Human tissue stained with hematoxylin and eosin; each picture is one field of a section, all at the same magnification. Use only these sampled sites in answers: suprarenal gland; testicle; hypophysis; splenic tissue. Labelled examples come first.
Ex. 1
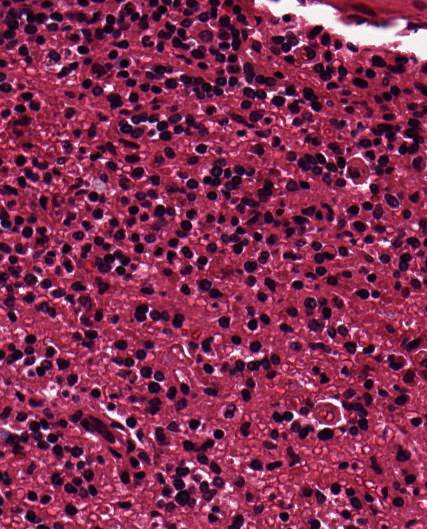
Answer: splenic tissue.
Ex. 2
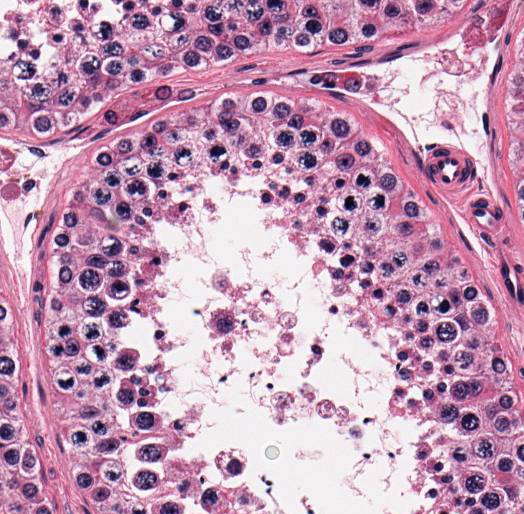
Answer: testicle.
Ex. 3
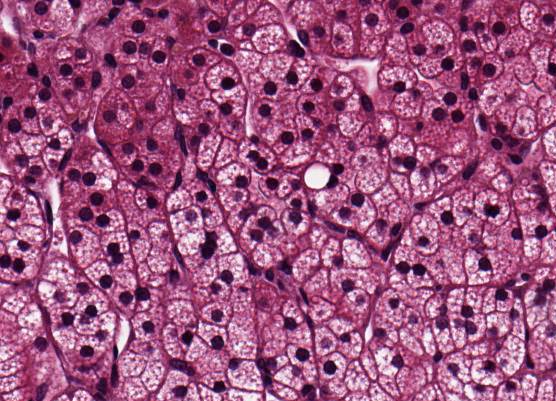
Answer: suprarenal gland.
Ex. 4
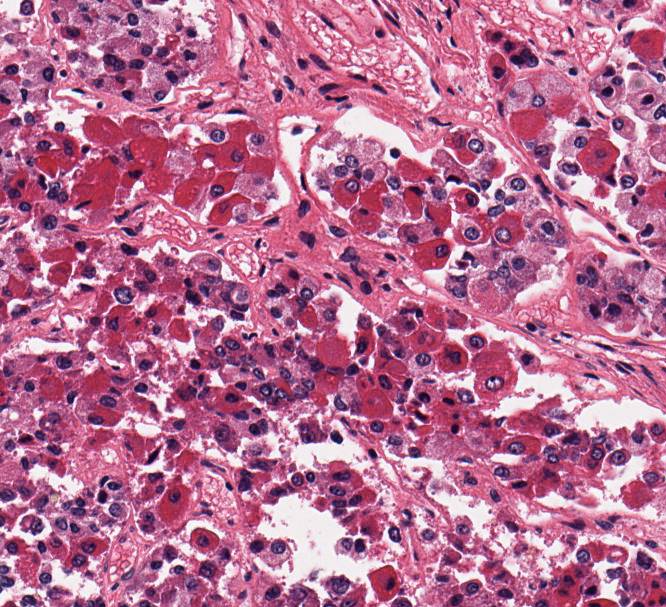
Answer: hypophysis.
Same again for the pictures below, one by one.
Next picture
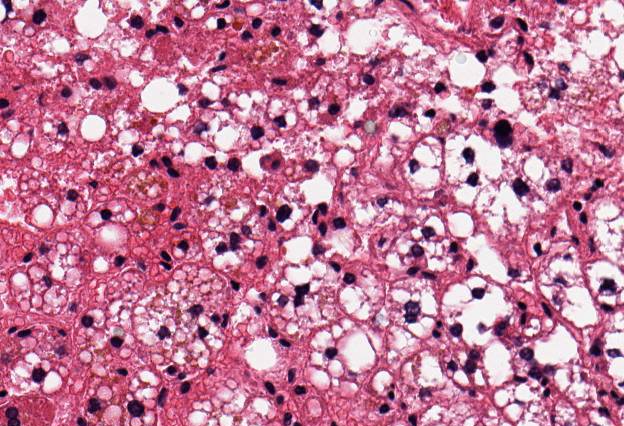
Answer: suprarenal gland.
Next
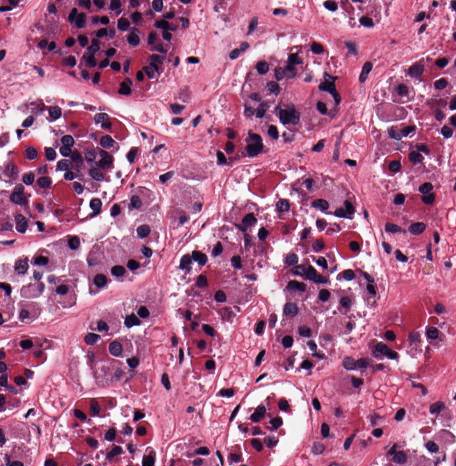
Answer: hypophysis.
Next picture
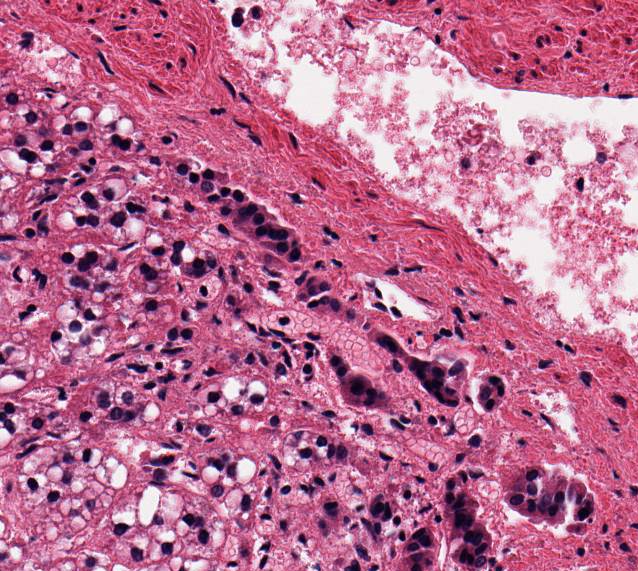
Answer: suprarenal gland.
